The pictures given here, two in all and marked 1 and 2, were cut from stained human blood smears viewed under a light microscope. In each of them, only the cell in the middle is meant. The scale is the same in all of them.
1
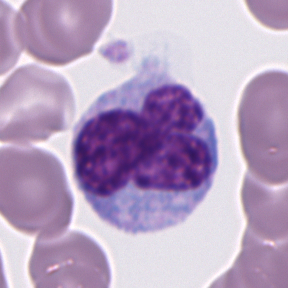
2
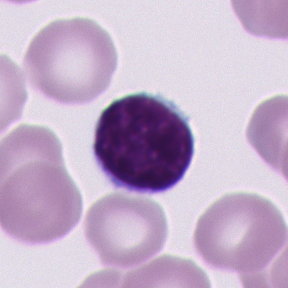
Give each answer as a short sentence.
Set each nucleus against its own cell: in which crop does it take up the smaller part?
It is the cell in crop 1 that is filled less by its nucleus.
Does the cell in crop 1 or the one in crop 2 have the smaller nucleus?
The nucleus in crop 2 is smaller; the one in crop 1 has about 1.5 times its area.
